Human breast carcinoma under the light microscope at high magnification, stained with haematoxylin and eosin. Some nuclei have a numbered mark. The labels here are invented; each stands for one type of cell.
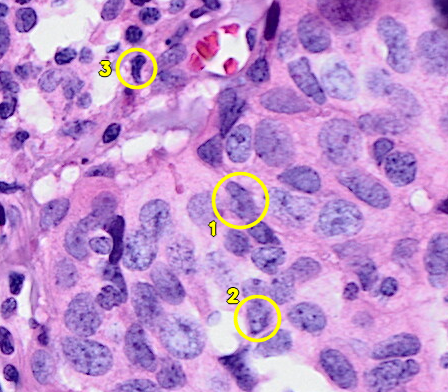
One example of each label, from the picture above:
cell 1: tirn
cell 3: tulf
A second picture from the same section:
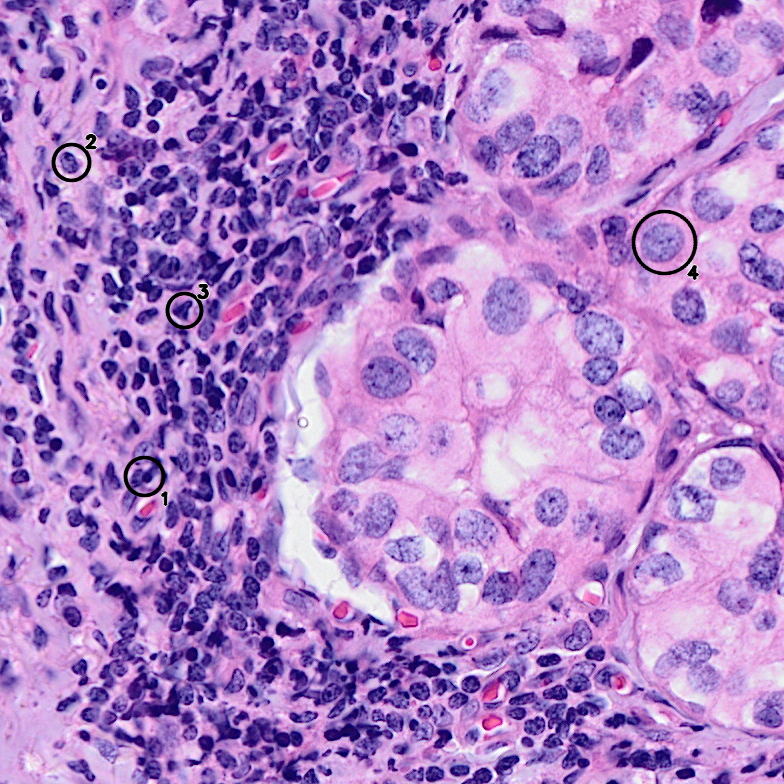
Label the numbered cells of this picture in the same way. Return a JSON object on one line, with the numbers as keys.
{"1": "tulf", "2": "tulf", "3": "tulf", "4": "tirn"}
